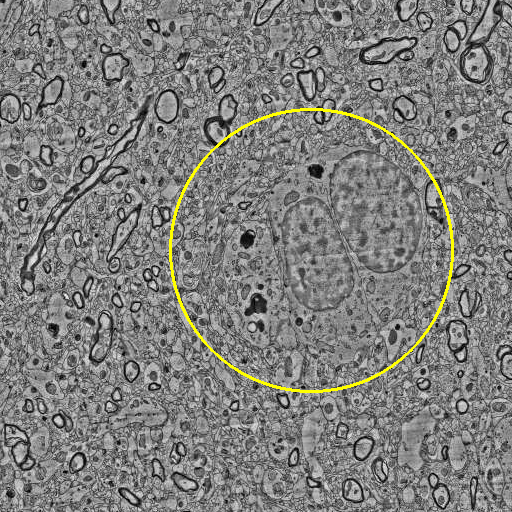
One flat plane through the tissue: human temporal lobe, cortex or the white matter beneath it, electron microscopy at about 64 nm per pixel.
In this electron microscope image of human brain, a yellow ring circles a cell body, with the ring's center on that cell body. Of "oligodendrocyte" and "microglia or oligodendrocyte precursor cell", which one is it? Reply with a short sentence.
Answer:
It is an oligodendrocyte at the center of the ring.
